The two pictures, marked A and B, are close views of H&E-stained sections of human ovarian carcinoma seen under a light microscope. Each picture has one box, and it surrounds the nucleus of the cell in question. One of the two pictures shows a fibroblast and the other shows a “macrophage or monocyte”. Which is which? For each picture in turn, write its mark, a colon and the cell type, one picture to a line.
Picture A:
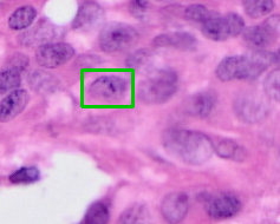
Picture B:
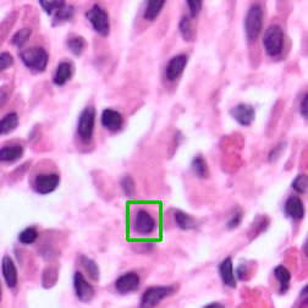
A: macrophage or monocyte
B: fibroblast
